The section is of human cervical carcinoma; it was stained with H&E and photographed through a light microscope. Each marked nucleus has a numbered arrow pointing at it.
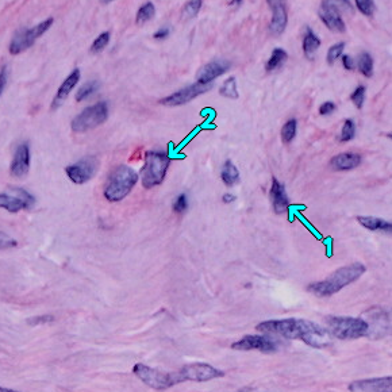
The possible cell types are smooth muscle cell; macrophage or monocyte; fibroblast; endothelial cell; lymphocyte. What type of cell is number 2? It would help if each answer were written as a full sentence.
The identity of cell 2 is that of an endothelial cell.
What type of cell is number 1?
The correct label for cell 1 is a fibroblast.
